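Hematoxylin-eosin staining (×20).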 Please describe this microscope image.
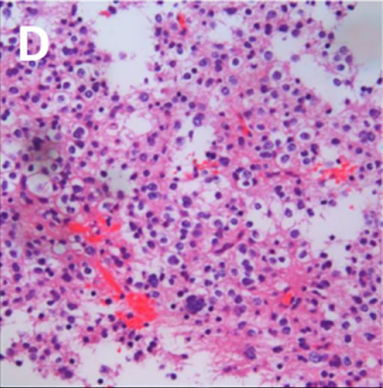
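This is a densely cellular glioma made of sheets of tumour cells with round, dark purple nuclei, many of them surrounded by clear cytoplasm. Between the cells lies a loose, pale pink, fibrillary background with scattered open spaces, and small blood vessels containing red blood cells run through the tissue.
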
